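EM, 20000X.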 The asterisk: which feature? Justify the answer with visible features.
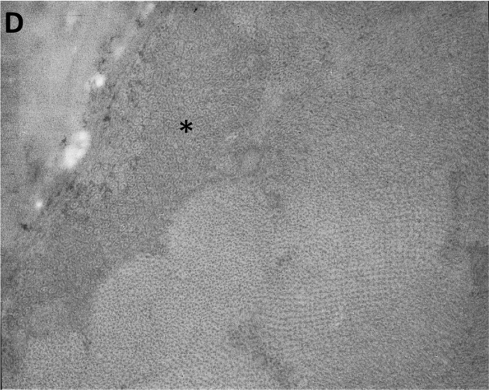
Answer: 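The packed area lies near the fiber edge.
Tubular aggregates.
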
